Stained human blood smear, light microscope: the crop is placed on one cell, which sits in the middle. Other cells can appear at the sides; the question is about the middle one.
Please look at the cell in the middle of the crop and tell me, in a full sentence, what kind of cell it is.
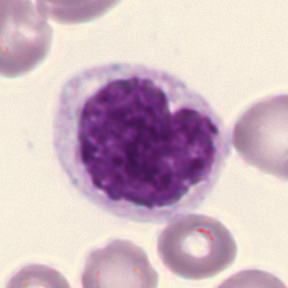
At the crop's centre, the cell is a metamyelocyte.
